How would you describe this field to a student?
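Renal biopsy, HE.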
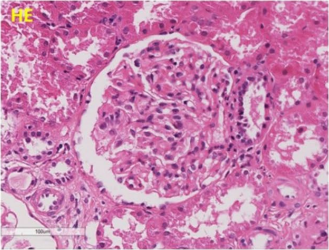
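A glomerulus lies in the centre, a rounded tuft of pink capillary loops with scattered dark blue nuclei, ringed by a clear crescent-shaped space and a thin capsule. Around it are cross-sectioned tubules lined by pink epithelial cells with round nuclei.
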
